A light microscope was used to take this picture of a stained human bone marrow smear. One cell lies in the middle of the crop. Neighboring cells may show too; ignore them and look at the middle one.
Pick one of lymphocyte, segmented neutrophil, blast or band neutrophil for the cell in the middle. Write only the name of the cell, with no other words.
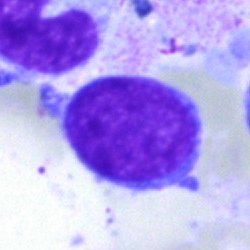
blast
